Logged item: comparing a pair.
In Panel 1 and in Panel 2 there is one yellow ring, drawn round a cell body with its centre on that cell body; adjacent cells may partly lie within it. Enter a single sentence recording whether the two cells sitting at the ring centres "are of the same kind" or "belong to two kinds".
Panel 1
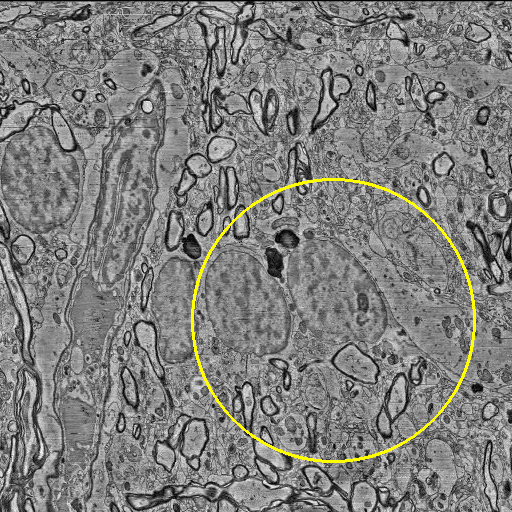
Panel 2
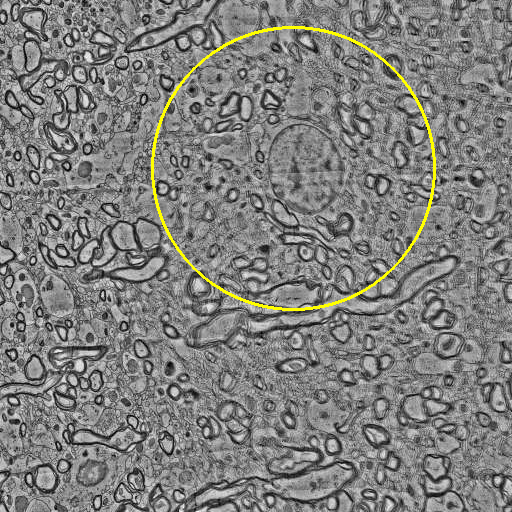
Logged: the cells centred in the rings of Panel 1 and Panel 2 belong to two kinds.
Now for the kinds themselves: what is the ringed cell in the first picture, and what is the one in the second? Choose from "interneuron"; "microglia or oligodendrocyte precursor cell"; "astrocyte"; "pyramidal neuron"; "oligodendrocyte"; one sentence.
Here the first cell is an oligodendrocyte and the second cell is a microglial cell or oligodendrocyte precursor cell.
